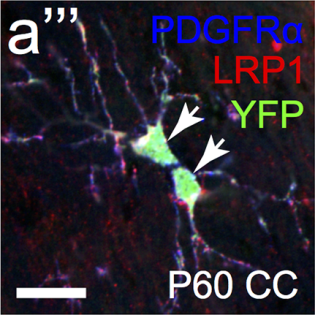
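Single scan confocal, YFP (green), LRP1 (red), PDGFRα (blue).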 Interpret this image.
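Two closely apposed glial cells of the corpus callosum are shown, each with a compact green cell body. From both bodies many thin, long processes radiate in several directions and branch further into the surrounding tissue. The processes appear whitish to pale violet where green, blue and red overlap along their length. The surrounding tissue is dark with only faint background labelling.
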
